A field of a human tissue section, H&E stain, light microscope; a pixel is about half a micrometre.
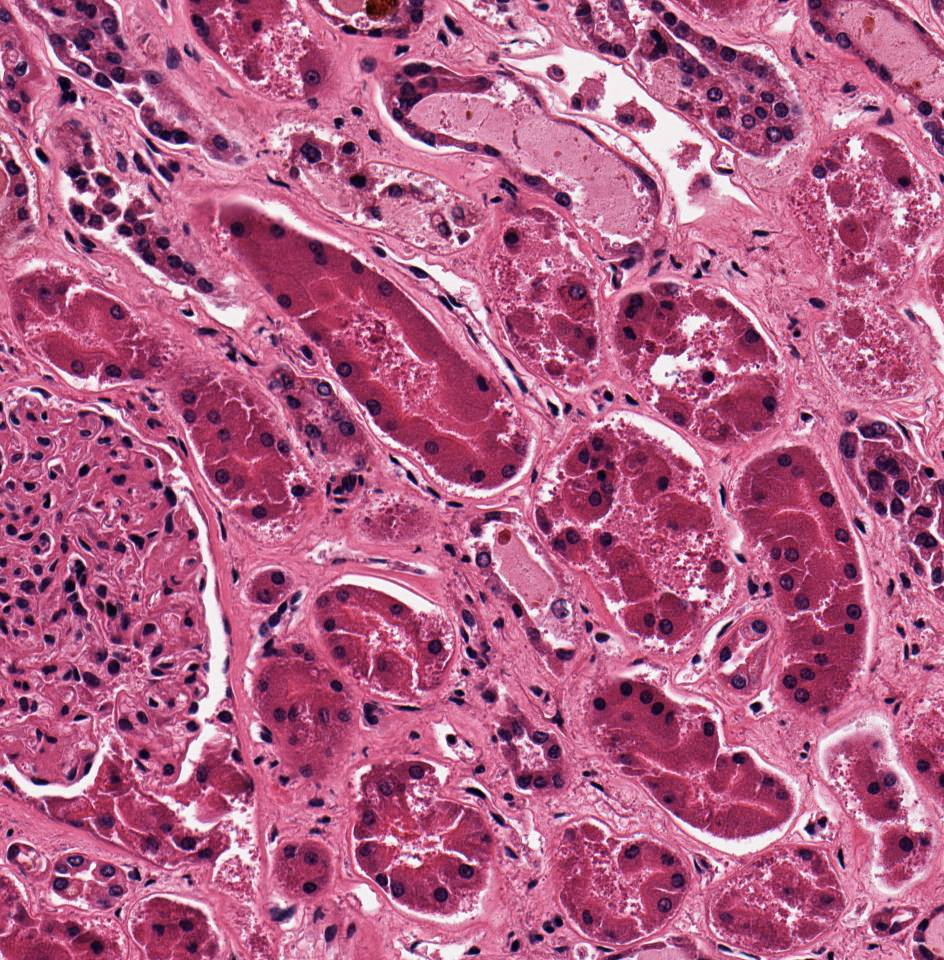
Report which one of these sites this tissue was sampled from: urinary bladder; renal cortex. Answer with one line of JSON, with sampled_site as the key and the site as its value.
{"sampled_site": "renal cortex"}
